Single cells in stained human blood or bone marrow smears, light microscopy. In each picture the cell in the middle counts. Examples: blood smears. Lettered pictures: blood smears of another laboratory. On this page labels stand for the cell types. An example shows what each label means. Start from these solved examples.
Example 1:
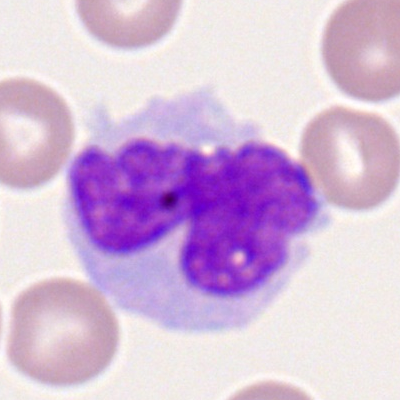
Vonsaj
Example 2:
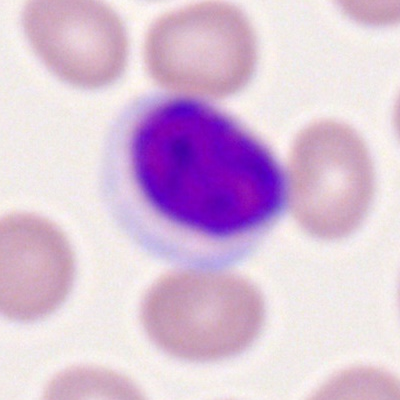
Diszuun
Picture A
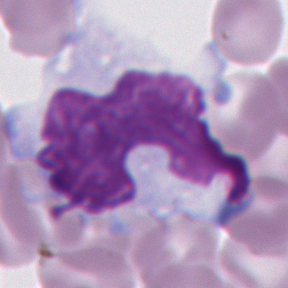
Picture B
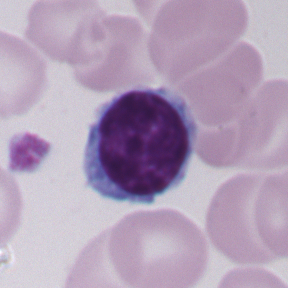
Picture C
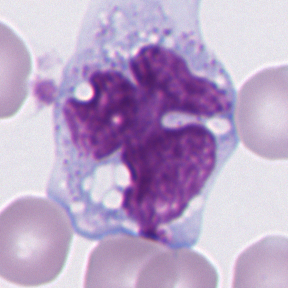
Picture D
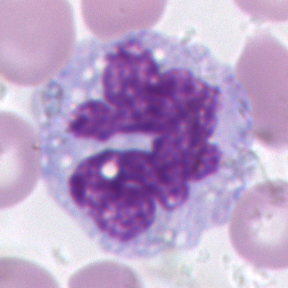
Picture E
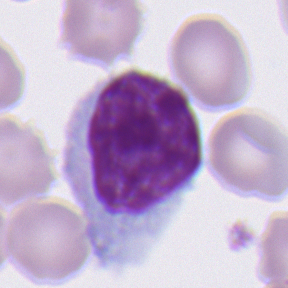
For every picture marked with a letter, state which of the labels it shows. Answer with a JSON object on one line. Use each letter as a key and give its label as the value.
{"A": "Vonsaj", "B": "Diszuun", "C": "Vonsaj", "D": "Vonsaj", "E": "Diszuun"}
